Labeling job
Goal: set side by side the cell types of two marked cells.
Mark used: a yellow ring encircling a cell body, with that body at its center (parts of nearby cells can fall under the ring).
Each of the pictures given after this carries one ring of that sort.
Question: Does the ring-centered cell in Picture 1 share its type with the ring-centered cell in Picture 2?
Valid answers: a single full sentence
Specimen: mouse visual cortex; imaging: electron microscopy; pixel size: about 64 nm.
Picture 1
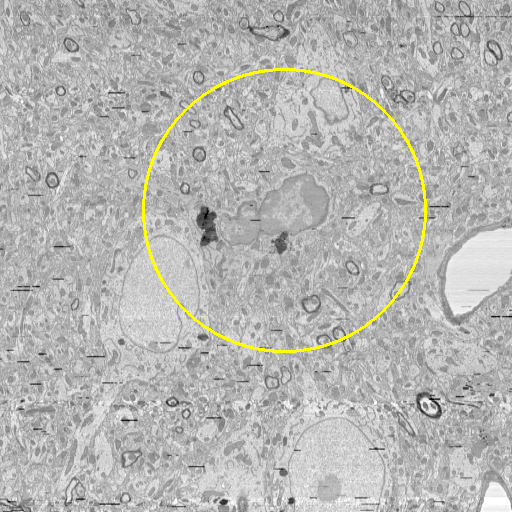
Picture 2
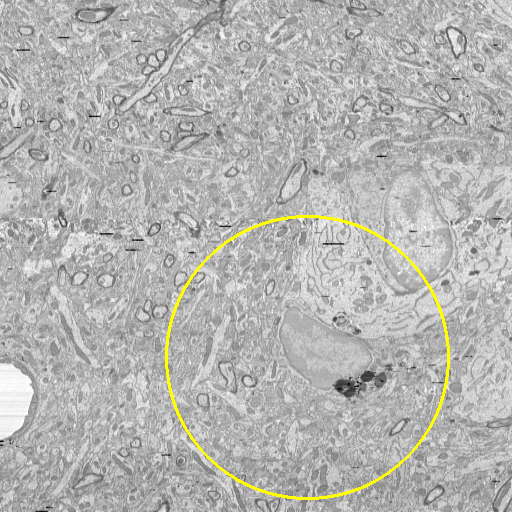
Yes, in Pictures 1 and 2 the cells at the ring centers share one type.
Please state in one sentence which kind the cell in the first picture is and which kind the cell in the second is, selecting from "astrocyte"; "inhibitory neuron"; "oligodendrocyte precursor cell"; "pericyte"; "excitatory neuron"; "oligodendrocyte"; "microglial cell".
In both pictures the ring is centred on a microglial cell.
